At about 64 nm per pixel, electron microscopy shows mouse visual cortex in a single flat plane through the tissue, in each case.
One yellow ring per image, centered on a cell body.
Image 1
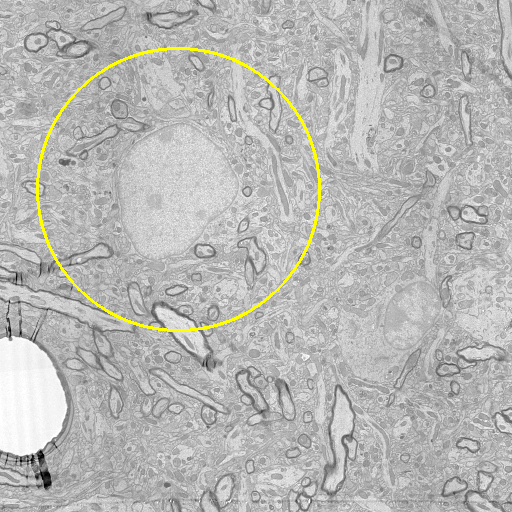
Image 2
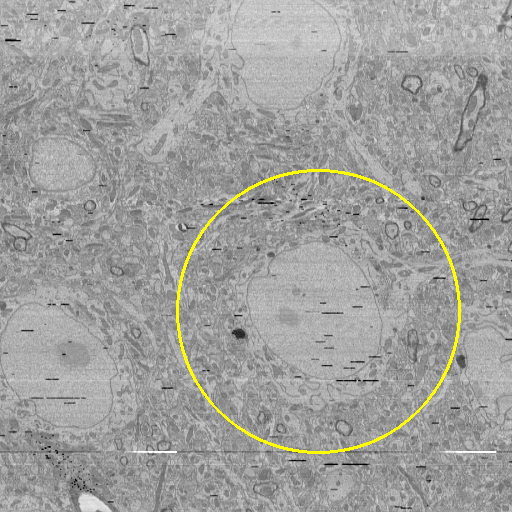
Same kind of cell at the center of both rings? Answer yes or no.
no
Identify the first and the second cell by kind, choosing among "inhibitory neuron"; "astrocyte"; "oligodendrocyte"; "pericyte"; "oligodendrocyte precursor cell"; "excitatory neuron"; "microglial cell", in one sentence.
The one in the first picture is an astrocyte, while the one in the second is an excitatory neuron.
